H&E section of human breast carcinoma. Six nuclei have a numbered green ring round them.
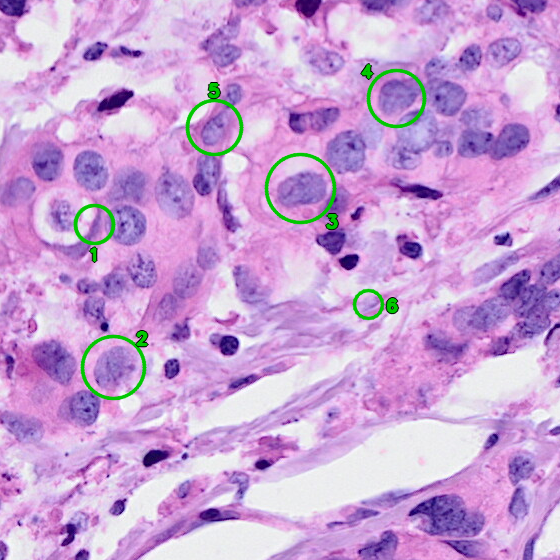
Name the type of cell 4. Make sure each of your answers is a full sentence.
Number 4 is placed on a carcinoma cell here.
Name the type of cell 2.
In the marked set, the cell given number 2 is a carcinoma cell.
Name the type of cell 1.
The marked cell with the number 1 is recognised as a carcinoma cell.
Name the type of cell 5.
Among the marked nuclei, number 5 belongs to an endothelial cell.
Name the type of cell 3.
The cell indicated by marker 3 is a carcinoma cell in this section.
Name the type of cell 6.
As for number 6, that cell is a fibroblast.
